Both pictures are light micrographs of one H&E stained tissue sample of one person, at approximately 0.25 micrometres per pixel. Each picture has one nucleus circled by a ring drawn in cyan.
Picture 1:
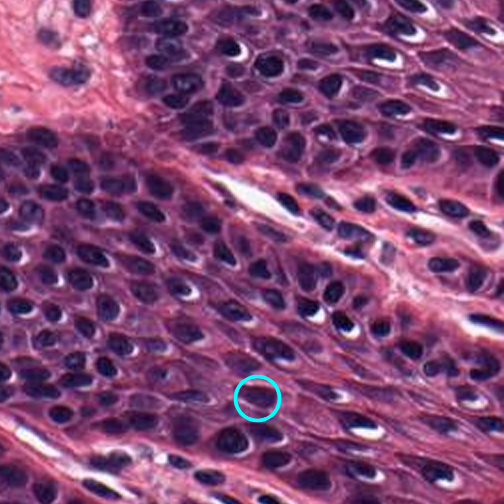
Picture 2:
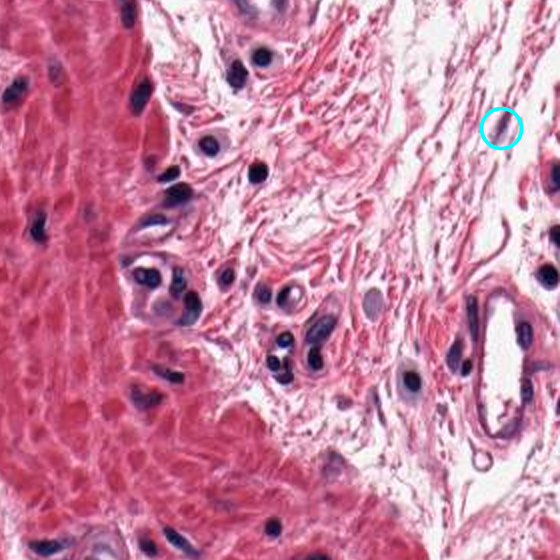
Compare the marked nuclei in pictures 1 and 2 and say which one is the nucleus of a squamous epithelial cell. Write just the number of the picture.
1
